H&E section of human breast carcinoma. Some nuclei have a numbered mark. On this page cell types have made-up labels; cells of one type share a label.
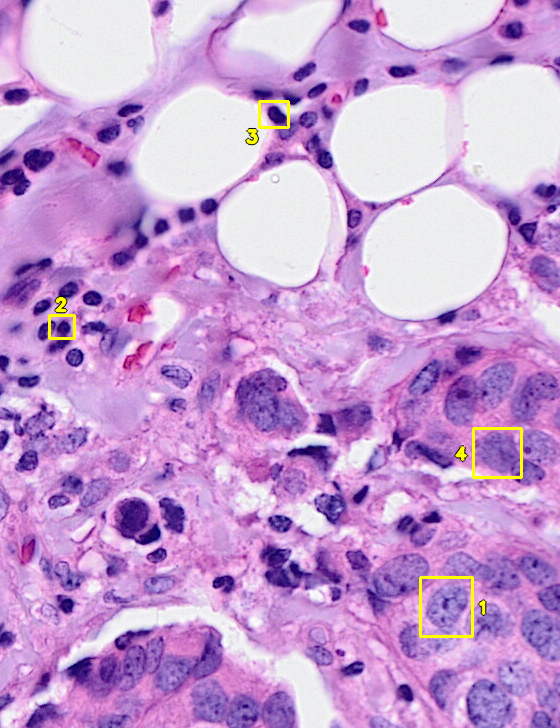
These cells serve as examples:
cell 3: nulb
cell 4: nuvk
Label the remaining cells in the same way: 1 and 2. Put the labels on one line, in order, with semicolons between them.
nuvk; nulb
